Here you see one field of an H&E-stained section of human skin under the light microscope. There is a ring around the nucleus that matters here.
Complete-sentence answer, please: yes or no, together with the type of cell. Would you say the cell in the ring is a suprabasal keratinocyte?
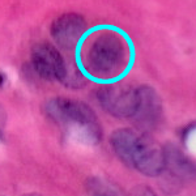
No, what the cell in the ring represents is a basal keratinocyte rather than a suprabasal keratinocyte.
